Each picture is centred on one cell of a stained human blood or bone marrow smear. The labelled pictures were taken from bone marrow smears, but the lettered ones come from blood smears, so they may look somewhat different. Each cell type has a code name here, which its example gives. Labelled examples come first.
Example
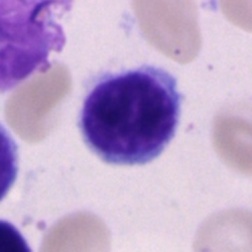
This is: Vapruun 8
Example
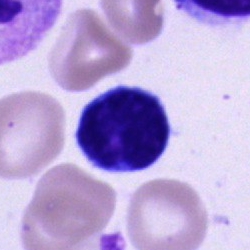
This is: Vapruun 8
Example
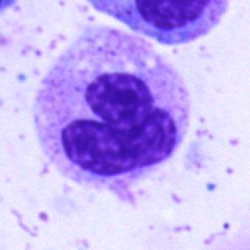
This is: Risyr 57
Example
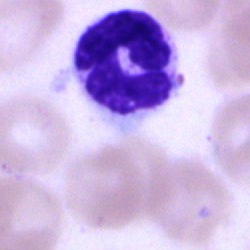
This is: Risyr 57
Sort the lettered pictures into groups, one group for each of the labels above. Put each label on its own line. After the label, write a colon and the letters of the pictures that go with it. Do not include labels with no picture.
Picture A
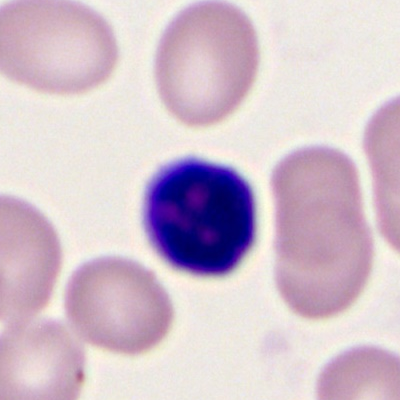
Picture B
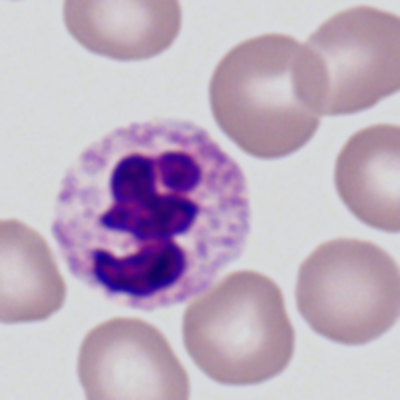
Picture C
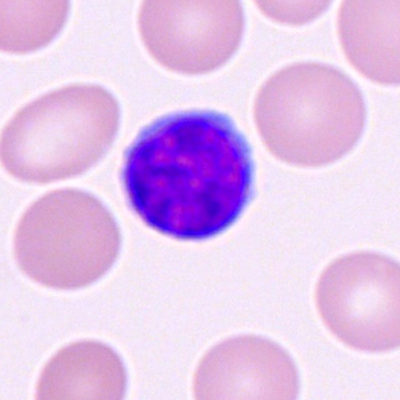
Vapruun 8: A, C
Risyr 57: B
